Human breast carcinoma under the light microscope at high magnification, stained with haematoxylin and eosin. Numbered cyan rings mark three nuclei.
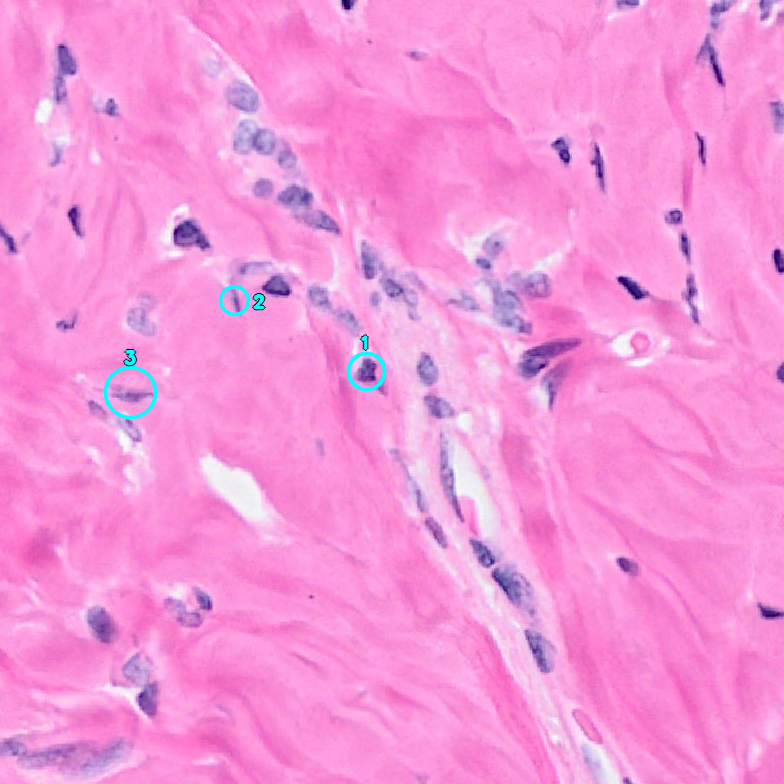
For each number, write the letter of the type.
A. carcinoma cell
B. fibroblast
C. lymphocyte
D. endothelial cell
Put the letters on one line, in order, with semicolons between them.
C; B; B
